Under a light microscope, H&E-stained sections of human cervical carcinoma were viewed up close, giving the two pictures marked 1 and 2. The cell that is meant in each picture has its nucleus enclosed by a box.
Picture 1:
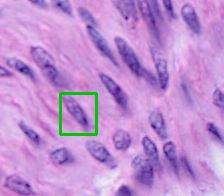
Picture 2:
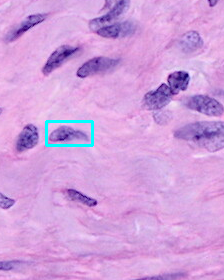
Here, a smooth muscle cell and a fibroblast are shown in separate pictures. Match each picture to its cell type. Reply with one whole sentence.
Picture 1 is of a smooth muscle cell, and picture 2 is of a fibroblast.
